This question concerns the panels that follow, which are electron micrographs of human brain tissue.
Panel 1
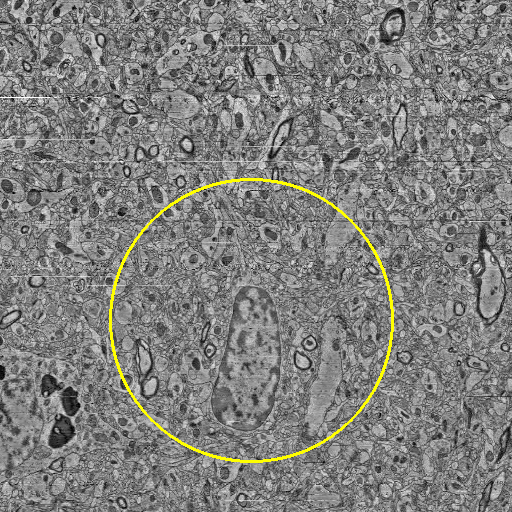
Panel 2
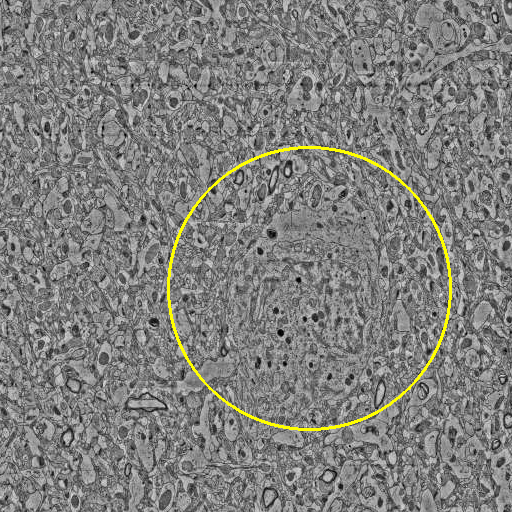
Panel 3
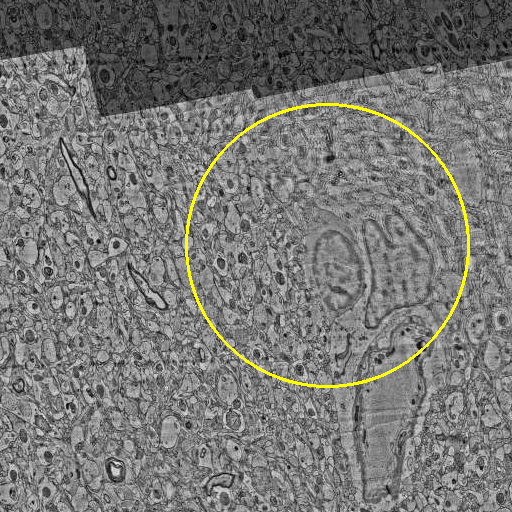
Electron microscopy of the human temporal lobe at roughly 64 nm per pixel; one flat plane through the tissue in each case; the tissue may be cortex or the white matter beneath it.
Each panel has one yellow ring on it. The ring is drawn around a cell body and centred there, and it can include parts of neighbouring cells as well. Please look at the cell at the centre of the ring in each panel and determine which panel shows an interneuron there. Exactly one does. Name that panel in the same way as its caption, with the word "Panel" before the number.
Panel 2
